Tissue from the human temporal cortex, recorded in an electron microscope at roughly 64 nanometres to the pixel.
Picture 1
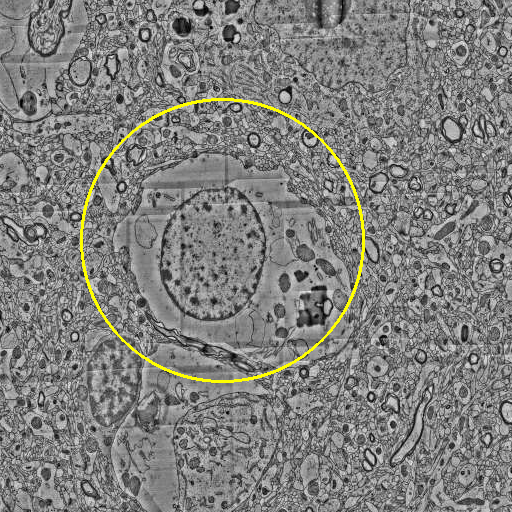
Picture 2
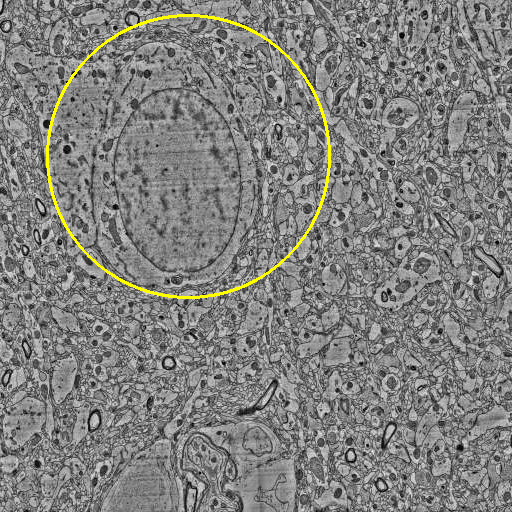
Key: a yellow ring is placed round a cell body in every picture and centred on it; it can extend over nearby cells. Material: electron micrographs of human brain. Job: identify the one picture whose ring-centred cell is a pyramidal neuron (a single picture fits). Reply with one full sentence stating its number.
Picture 2 is the one with the sought cell at the centre of its ring.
